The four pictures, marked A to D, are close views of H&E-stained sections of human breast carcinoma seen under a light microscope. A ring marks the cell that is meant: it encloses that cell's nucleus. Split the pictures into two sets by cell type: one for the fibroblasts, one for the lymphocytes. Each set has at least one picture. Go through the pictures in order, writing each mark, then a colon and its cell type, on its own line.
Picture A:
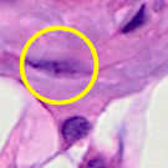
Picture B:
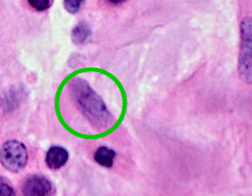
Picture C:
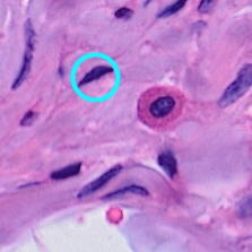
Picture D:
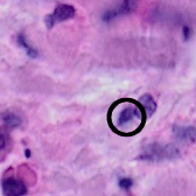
A: fibroblast
B: fibroblast
C: fibroblast
D: lymphocyte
